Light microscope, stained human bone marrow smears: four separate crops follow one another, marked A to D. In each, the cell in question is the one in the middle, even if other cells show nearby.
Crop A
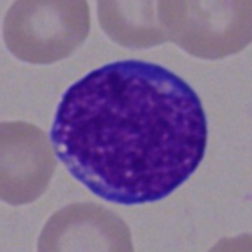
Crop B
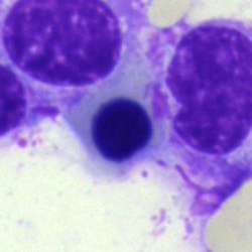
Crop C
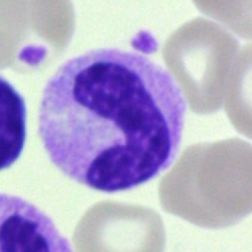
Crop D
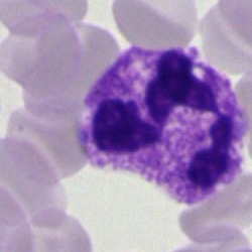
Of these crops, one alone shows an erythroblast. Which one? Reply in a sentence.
The crop marked B is the one that shows an erythroblast.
